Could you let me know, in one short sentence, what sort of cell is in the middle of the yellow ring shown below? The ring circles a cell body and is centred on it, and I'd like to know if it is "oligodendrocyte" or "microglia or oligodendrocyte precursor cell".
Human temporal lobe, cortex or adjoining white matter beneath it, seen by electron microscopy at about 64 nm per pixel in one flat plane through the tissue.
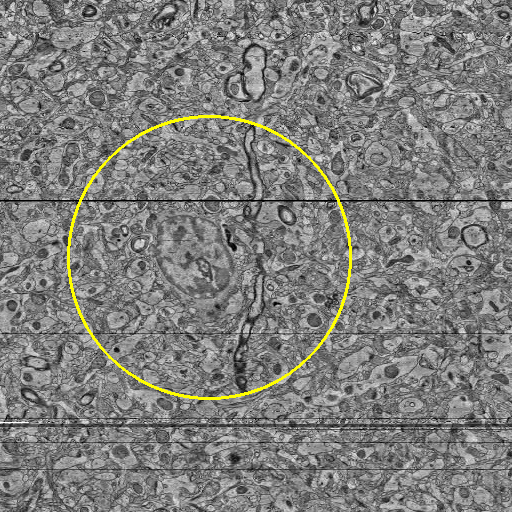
The ring circles the cell body of an oligodendrocyte.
